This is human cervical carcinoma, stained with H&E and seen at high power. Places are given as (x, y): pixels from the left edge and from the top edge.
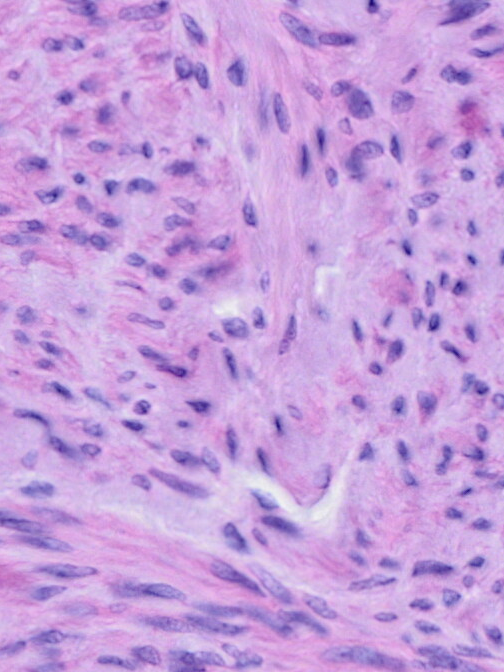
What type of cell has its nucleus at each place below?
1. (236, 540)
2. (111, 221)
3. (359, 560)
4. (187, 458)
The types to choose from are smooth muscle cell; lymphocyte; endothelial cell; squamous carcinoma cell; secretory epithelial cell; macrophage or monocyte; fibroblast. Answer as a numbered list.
1. fibroblast
2. smooth muscle cell
3. smooth muscle cell
4. smooth muscle cell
